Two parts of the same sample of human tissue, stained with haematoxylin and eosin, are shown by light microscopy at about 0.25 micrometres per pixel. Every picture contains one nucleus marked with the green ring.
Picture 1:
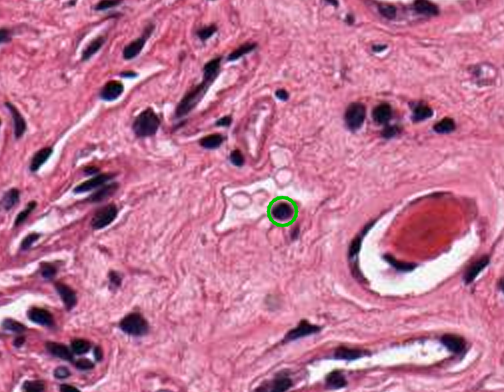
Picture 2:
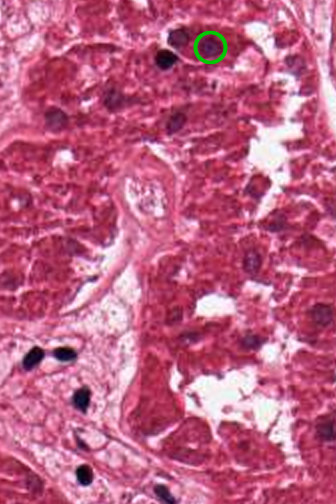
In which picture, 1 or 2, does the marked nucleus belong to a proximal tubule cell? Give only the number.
2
